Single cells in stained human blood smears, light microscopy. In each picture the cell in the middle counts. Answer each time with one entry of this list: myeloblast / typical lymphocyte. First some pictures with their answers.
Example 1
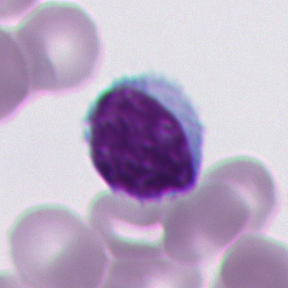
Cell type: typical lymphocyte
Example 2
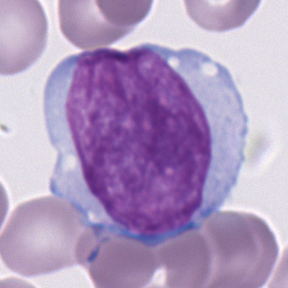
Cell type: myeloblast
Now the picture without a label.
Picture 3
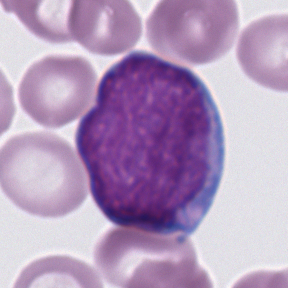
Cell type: myeloblast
